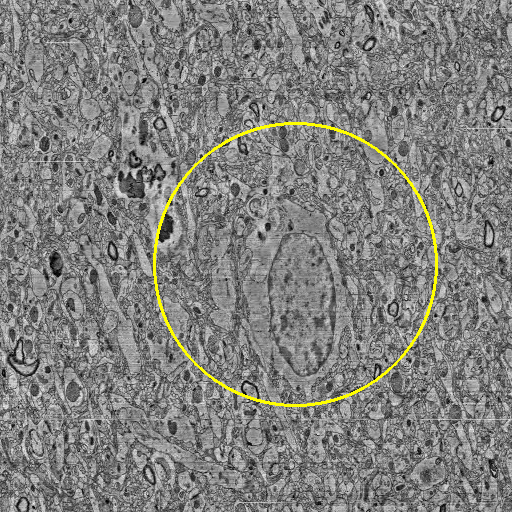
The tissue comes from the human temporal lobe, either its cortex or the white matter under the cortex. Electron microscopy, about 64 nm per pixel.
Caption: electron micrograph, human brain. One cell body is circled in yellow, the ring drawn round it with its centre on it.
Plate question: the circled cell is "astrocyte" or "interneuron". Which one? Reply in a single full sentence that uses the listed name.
The yellow ring on the plate is centred on an astrocyte, going by the listed names.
